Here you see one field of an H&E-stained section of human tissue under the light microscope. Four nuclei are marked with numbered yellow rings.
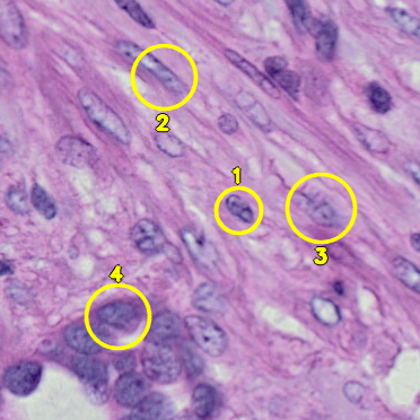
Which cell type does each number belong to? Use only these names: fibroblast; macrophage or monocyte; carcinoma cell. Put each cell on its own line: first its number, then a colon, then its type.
1: macrophage or monocyte
2: fibroblast
3: fibroblast
4: carcinoma cell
